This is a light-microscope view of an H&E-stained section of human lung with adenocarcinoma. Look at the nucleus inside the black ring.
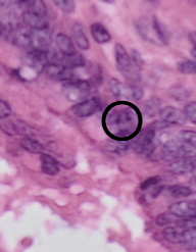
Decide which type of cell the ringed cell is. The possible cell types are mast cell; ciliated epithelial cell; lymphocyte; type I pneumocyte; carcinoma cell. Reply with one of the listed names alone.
ciliated epithelial cell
